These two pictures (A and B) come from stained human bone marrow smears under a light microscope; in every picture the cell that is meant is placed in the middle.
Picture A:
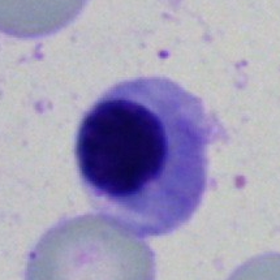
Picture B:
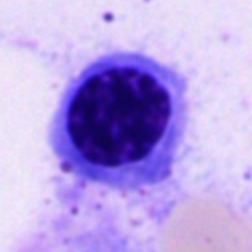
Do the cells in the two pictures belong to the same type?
yes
